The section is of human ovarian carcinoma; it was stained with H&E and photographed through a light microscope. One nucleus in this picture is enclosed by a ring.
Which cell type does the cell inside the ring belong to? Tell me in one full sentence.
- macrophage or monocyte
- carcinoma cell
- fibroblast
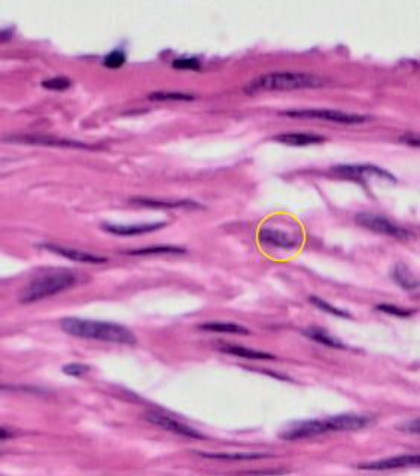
The identity of the cell inside the ring: it is a fibroblast.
